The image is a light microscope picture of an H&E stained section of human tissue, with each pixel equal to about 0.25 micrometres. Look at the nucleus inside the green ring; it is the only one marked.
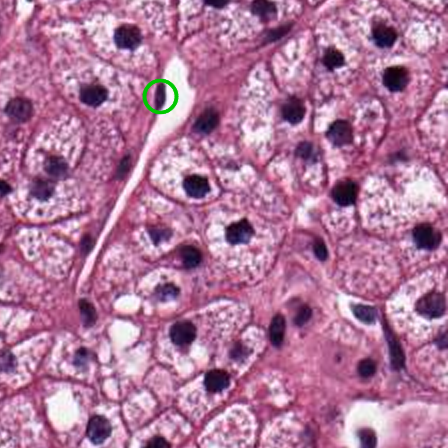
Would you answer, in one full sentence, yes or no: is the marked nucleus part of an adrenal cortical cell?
No, the marked nucleus is found in a supporting cell instead of in an adrenal cortical cell.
